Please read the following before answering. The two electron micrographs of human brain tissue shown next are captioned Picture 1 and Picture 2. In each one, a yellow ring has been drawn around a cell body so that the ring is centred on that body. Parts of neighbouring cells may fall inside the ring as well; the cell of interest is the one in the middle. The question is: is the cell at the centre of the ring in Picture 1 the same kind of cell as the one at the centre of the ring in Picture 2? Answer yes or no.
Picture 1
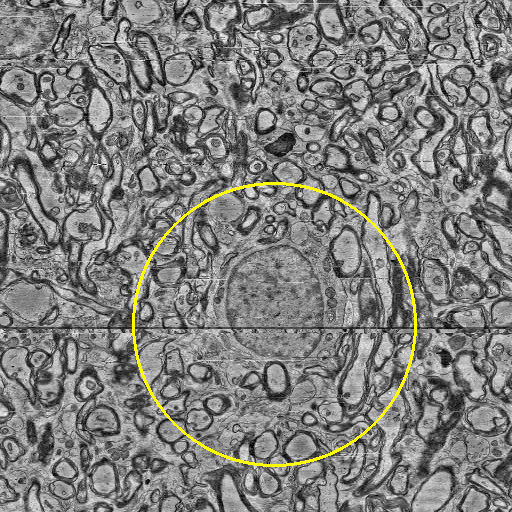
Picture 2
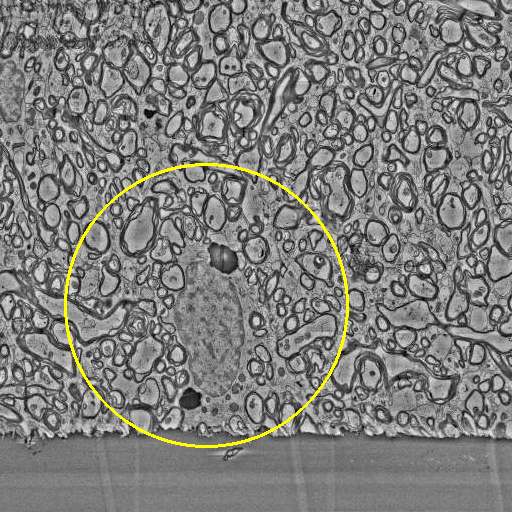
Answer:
yes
